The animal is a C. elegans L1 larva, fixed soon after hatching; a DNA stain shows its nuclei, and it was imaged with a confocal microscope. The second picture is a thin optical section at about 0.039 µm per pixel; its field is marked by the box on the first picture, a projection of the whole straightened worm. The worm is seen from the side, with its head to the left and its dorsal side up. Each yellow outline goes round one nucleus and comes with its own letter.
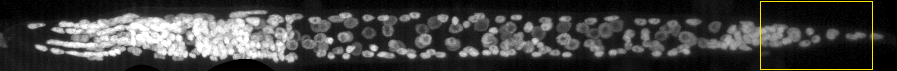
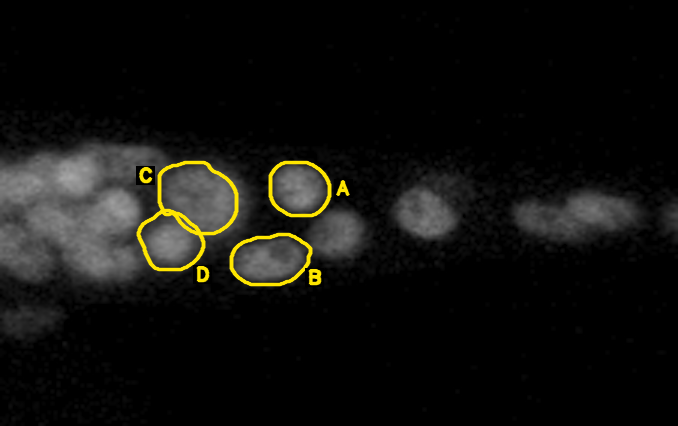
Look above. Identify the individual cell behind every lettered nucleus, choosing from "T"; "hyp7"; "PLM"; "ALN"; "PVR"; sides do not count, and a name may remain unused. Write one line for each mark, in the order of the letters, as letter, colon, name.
A: PVR
B: hyp7
C: T
D: PLM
